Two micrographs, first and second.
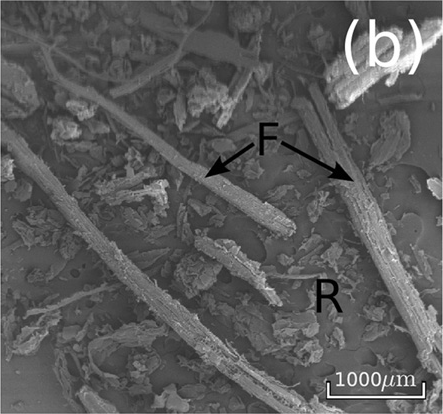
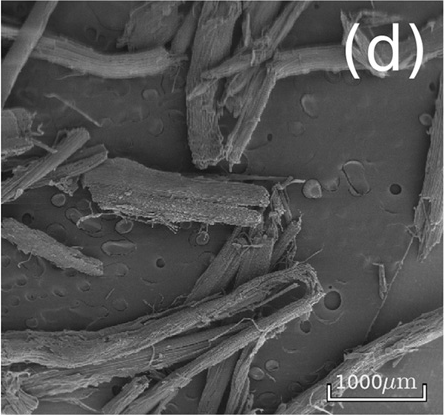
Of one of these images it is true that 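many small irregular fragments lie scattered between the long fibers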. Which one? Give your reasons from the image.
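Second image: the field is filled mainly by elongated striated bundles with few small fragments between them. First image: numerous small flaky irregular fragments are scattered all around the long thin bundles. That points to this answer: the first image.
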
